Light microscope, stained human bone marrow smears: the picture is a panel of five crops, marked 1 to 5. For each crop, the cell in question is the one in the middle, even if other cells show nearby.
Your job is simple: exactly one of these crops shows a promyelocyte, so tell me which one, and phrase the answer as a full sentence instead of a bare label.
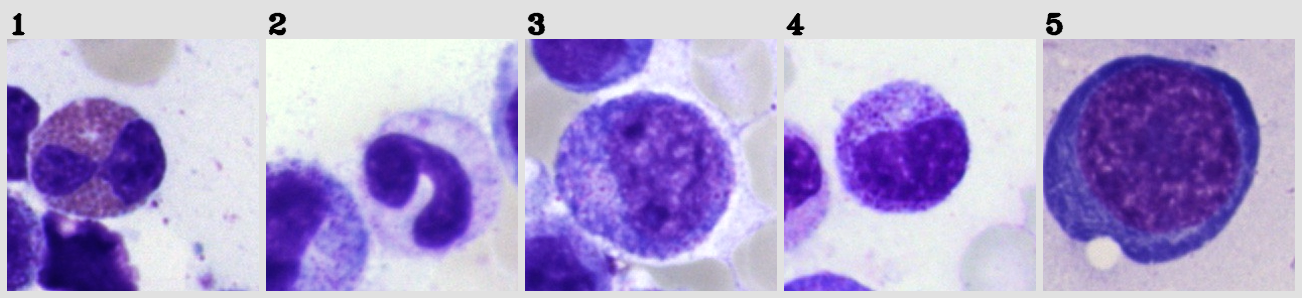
Crop 3, and no other, shows a promyelocyte.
